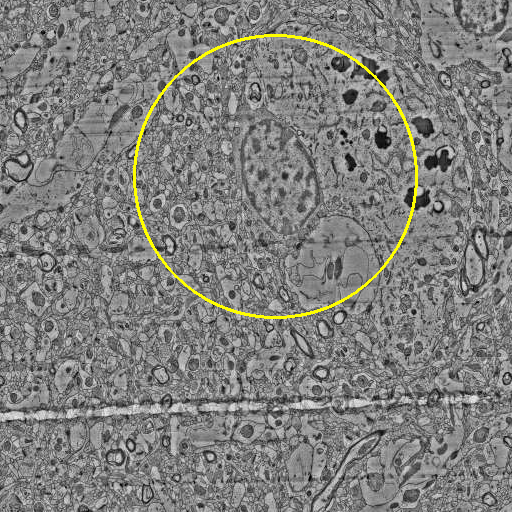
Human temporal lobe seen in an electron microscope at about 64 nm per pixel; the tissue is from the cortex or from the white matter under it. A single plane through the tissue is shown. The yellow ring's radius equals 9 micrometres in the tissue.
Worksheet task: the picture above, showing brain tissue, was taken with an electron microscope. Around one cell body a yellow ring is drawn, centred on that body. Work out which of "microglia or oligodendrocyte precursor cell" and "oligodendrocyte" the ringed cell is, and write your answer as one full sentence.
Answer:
It is an oligodendrocyte whose cell body lies at the centre of the yellow ring.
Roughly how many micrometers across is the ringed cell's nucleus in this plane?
The nucleus is approximately 7 micrometres long but only about 5 wide, clearly longer than it is wide in this plane.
